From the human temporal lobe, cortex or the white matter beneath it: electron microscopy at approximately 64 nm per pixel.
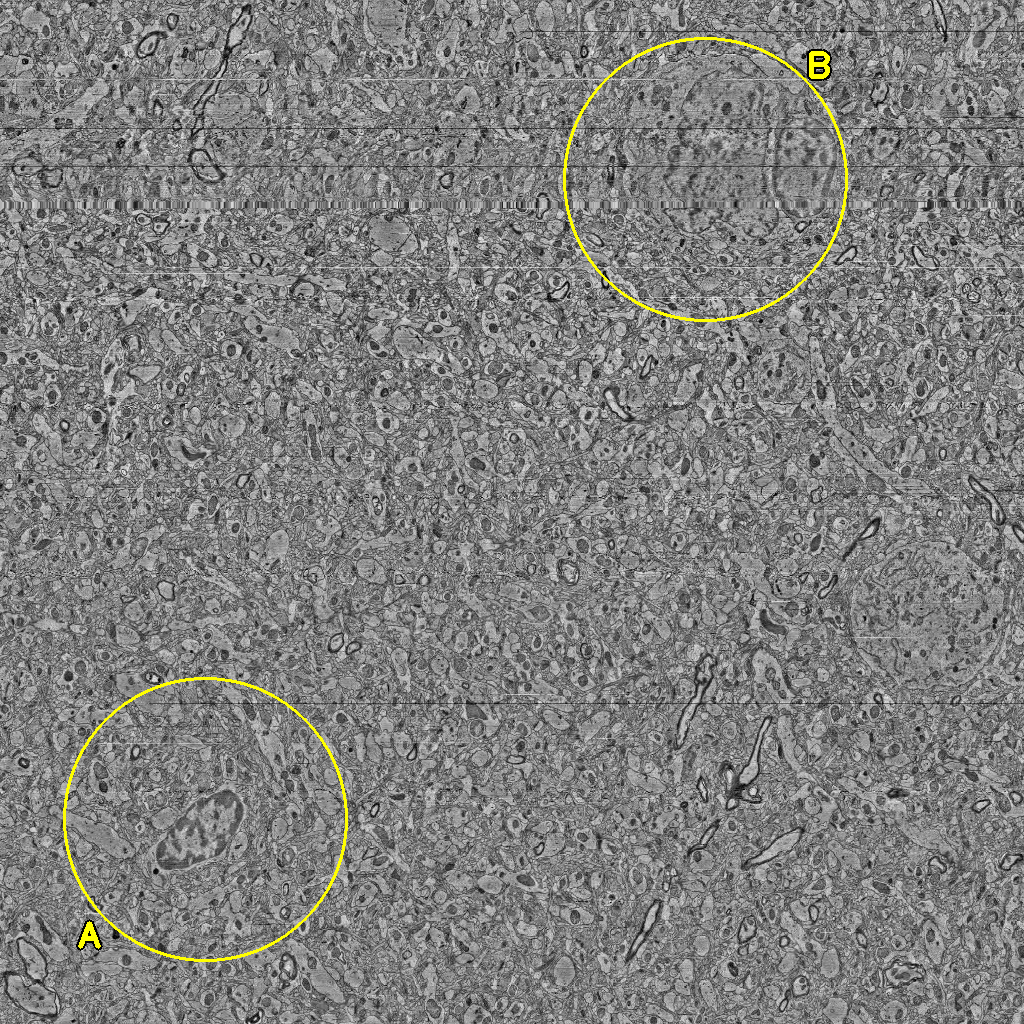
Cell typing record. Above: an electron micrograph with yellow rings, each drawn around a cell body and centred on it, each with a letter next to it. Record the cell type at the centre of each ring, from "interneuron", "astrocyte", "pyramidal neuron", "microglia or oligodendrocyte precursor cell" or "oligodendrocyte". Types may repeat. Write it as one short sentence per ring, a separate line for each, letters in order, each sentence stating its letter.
Ring A circles a microglial cell or oligodendrocyte precursor cell.
Ring B circles an interneuron.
